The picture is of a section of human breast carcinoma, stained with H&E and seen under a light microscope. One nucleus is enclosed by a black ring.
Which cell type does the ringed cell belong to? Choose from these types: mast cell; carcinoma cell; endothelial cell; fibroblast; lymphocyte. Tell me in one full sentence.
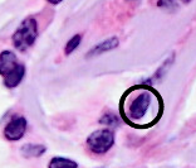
As far as its identity is concerned, the ringed cell is a lymphocyte.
